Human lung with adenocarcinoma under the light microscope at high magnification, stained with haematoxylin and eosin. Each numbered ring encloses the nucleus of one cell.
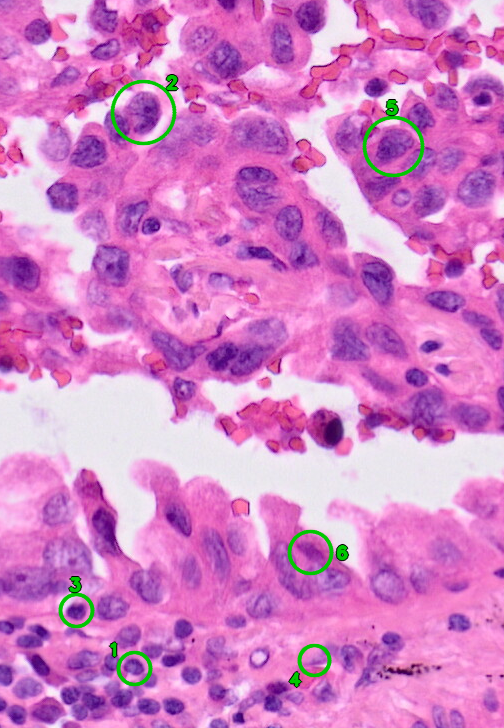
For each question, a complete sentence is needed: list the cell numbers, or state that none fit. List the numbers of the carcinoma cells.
The cells marked by the numbers 2, 5 and 6 are carcinoma cells.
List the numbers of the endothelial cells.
Among the marked cells, an endothelial cell is found only at number 4.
